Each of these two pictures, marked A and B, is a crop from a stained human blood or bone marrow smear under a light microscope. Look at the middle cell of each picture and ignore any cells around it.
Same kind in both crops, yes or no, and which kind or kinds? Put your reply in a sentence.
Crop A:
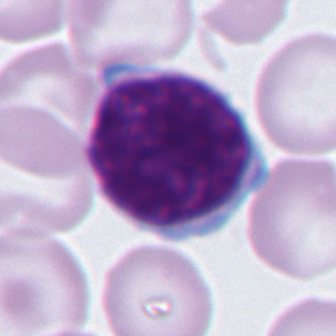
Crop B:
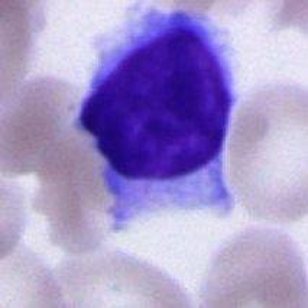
Yes, that is right, both crops show lymphocytes.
